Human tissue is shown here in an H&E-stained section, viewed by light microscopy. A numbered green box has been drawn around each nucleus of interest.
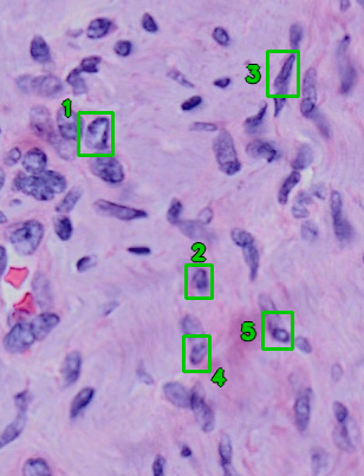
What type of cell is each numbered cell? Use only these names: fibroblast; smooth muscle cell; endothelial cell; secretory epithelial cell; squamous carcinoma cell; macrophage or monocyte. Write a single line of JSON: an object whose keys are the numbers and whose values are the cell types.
{"1": "endothelial cell", "2": "smooth muscle cell", "3": "fibroblast", "4": "smooth muscle cell", "5": "smooth muscle cell"}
